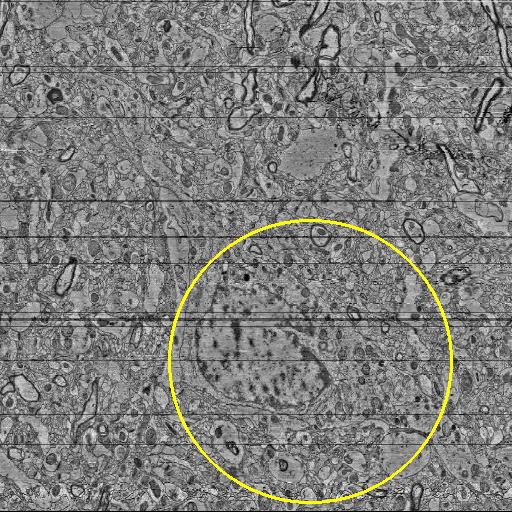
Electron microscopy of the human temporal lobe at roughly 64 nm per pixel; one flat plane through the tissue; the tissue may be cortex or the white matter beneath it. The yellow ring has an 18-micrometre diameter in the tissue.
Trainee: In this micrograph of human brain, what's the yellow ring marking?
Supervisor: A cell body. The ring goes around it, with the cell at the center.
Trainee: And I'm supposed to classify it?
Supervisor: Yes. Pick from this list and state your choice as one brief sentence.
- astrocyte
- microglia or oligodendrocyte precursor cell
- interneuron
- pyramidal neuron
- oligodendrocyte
The cell at the ring's center is an interneuron.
